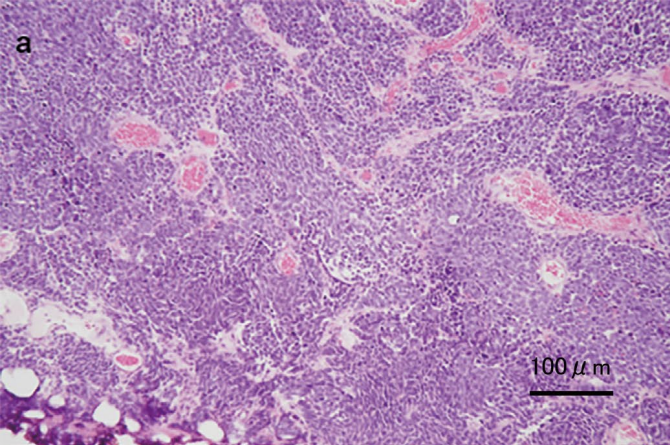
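Tumor tissue made of densely packed sheets and nests of small cells with dark purple nuclei and scant cytoplasm. The cells are crowded, giving the sections a dark blue-purple appearance. Thin pink fibrovascular septa run between the nests. Many small vessels within the septa are filled with red blood cells. No glandular or layered arrangement is seen.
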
